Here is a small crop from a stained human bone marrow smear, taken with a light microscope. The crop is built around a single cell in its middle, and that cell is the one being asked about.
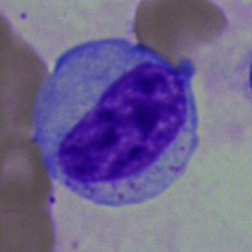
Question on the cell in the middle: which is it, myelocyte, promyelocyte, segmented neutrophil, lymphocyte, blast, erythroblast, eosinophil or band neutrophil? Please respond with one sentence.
The cell of interest, in the center, is a myelocyte.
